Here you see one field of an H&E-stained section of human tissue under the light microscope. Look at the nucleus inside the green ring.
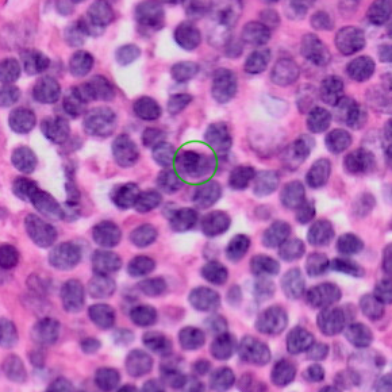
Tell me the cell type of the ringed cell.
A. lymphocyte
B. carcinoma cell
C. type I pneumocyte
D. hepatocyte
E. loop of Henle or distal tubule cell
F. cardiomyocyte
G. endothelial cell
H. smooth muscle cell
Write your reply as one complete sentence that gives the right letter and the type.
It is option A that correctly calls the ringed cell a lymphocyte.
